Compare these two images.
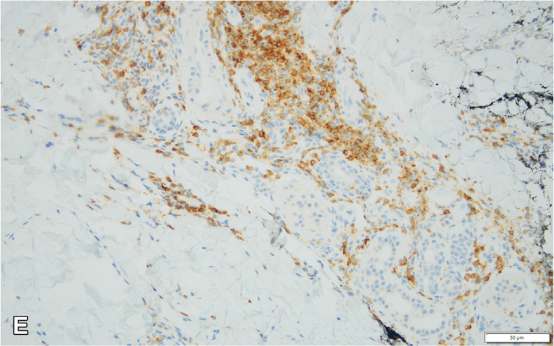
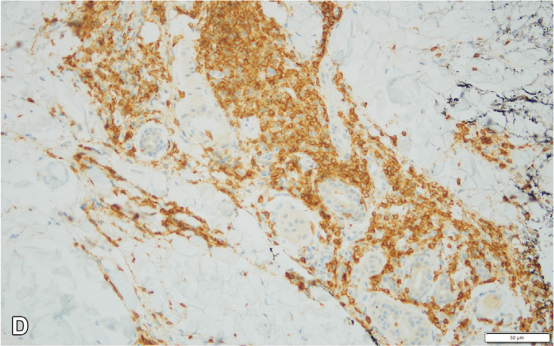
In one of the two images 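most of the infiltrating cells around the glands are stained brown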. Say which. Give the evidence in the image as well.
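First image: brown staining is patchier, with many unstained cells around the glands. Second image: dense brown staining fills the infiltrate around and between the glands. That points to this answer: the second image.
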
